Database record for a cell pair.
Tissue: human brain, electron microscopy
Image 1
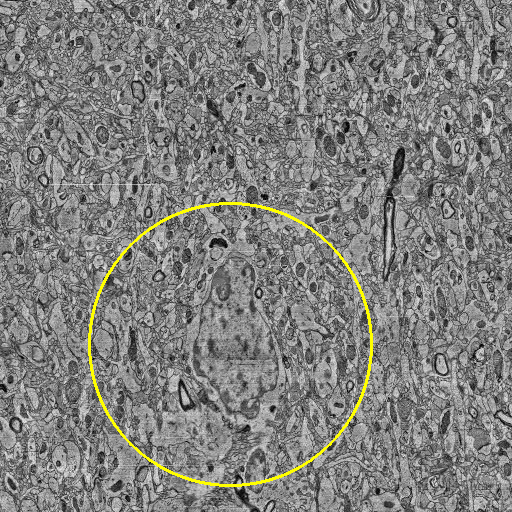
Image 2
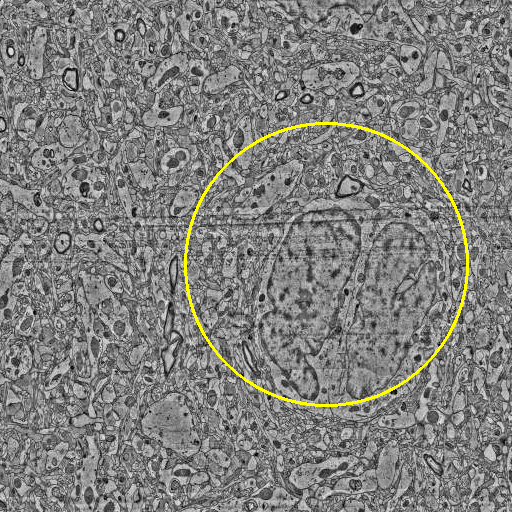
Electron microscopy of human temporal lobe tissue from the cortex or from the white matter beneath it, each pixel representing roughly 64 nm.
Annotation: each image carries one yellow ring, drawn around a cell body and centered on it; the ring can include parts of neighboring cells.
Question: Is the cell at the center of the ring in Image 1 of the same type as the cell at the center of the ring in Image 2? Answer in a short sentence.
Yes, the cells are of the same type.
